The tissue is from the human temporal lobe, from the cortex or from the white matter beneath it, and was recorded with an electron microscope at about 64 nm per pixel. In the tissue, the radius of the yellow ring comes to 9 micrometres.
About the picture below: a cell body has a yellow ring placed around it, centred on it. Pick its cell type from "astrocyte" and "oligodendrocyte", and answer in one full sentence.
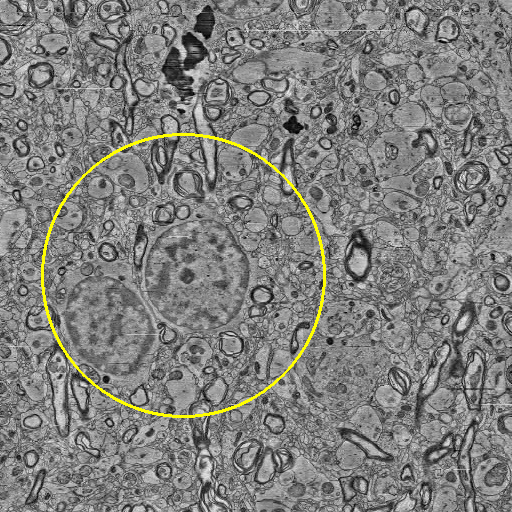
In the picture, an oligodendrocyte is the cell sitting at the centre of the yellow ring.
